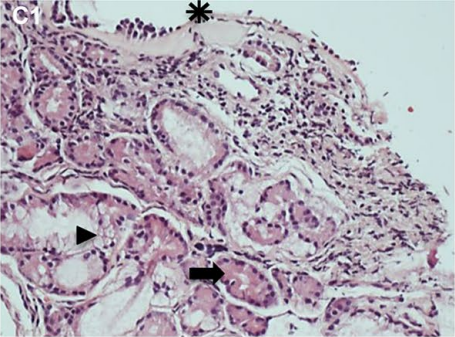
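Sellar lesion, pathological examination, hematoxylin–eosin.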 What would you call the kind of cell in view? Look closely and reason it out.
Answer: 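Some acini are made of cells with pink granular cytoplasm and round basal nuclei. Other acini are made of cells with pale, clear, foamy cytoplasm and flattened basal nuclei.
Conclusion: serous and mucinous cells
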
